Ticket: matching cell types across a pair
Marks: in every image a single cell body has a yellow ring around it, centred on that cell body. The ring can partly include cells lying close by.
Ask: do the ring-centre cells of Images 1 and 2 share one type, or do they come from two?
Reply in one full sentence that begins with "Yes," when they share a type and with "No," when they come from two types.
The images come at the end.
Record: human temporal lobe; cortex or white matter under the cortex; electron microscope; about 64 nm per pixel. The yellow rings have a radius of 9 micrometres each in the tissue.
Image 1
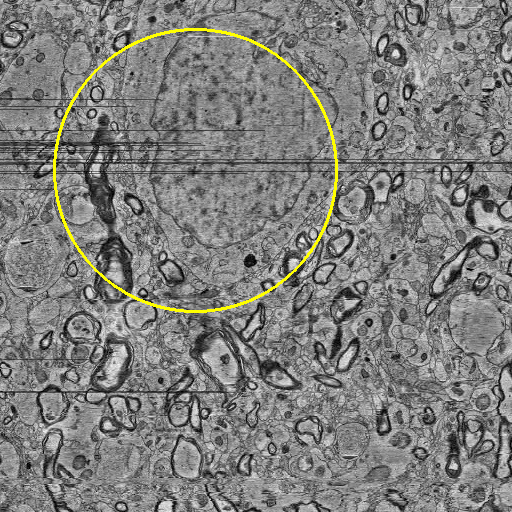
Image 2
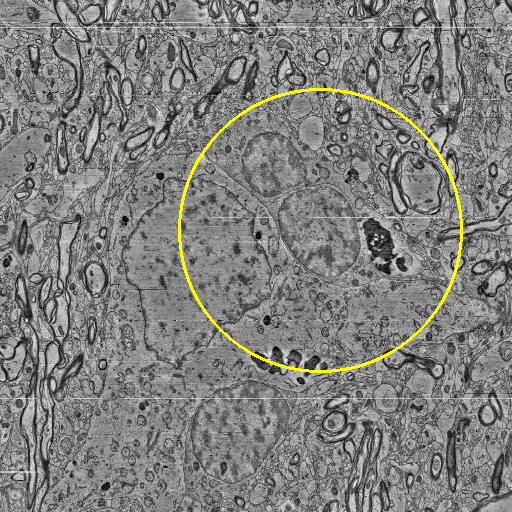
No, the cells in the centres of the rings in Image 1 and Image 2 come from two types.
